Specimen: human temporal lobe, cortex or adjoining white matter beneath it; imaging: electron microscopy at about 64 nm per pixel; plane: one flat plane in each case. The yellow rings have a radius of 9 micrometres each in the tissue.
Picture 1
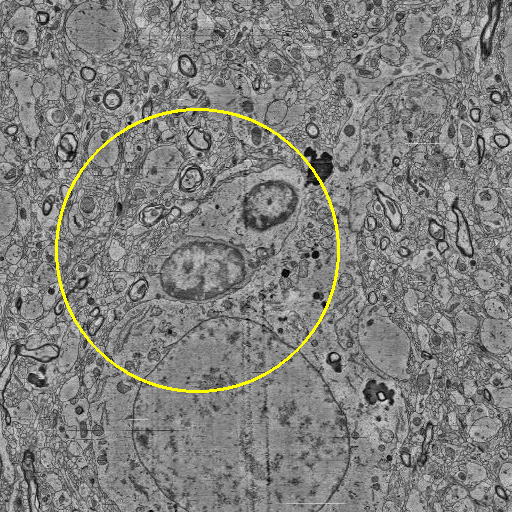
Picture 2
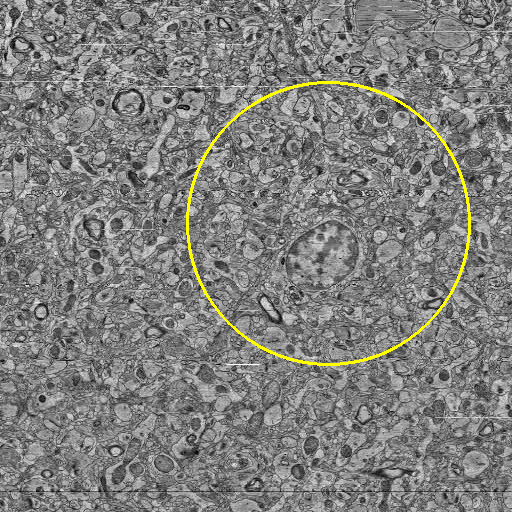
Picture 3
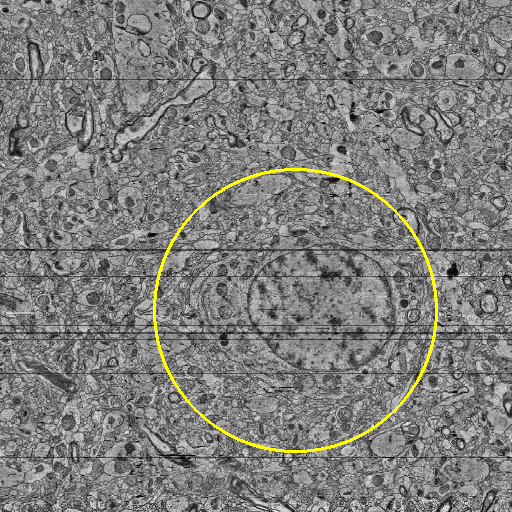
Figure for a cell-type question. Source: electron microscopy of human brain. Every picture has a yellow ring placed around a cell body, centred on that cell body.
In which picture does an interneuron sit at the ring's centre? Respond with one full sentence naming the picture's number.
The cell in the middle of the ring in picture 3 is the one sought.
